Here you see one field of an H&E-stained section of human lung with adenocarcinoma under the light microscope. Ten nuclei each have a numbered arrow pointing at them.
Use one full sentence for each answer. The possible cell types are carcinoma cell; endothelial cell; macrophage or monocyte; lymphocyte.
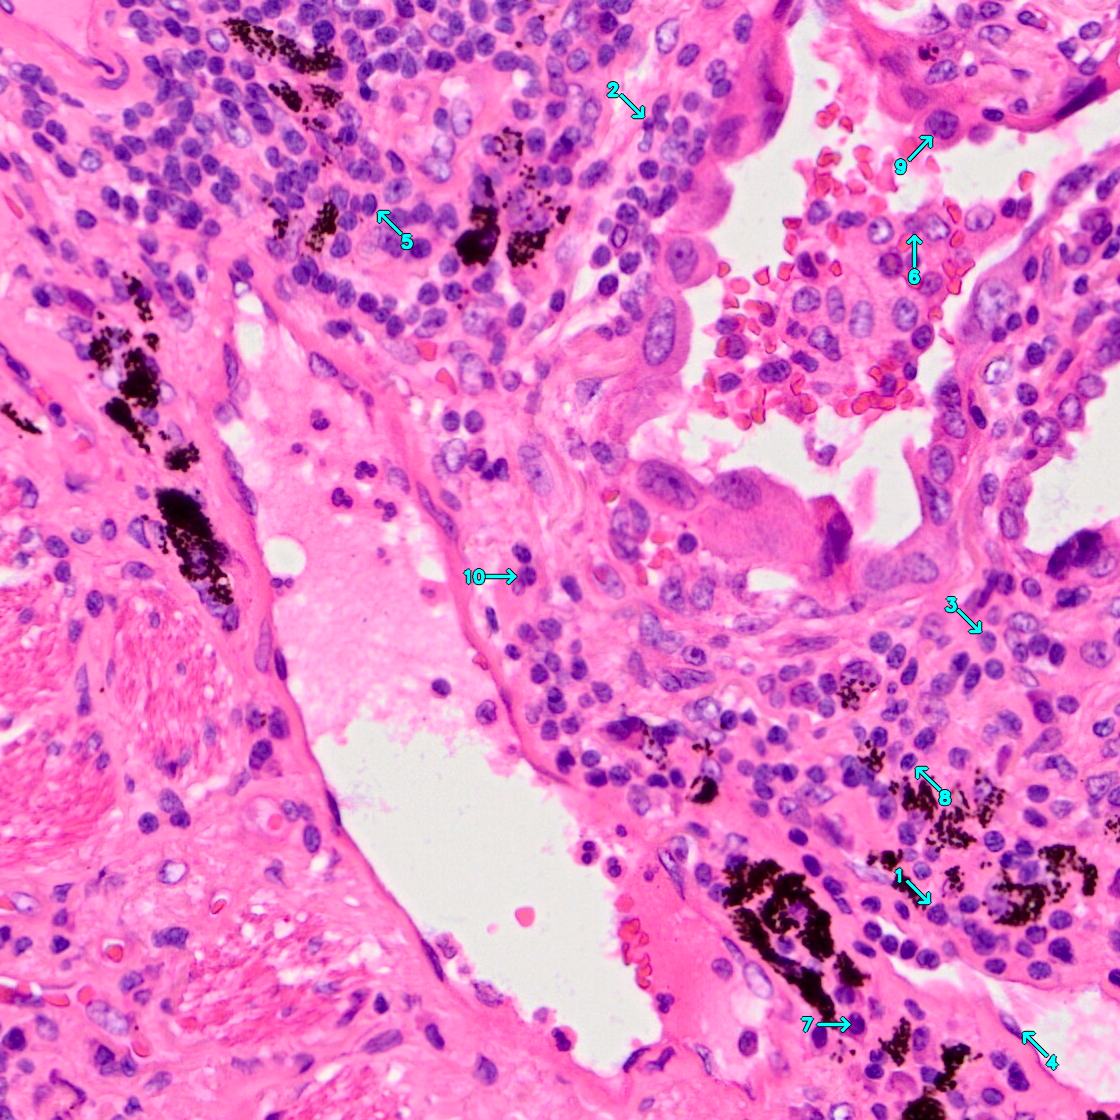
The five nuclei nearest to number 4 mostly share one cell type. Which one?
Most of the five nuclei nearest to number 4 are those of lymphocytes.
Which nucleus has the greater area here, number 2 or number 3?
Nucleus 3 covers more area, about 2 times as much as nucleus 2.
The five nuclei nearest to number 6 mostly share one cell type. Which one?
The majority of the five nuclei closest to number 6 belong to macrophages or monocytes.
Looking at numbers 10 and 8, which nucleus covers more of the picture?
Of the two, number 10 is bigger and takes up about 1.5 times the area of number 8.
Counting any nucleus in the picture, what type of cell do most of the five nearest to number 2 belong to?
Lymphocytes make up most of the five nuclei closest to number 2.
